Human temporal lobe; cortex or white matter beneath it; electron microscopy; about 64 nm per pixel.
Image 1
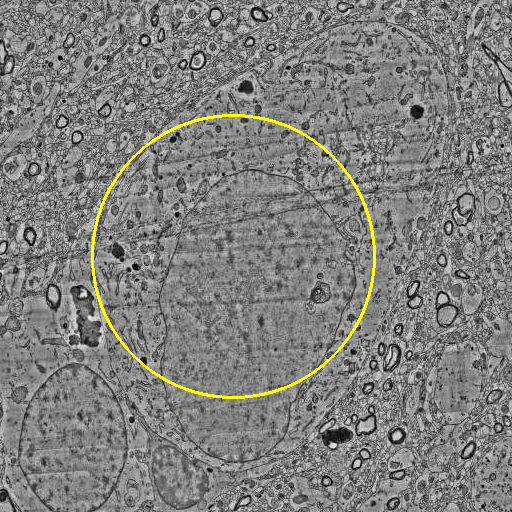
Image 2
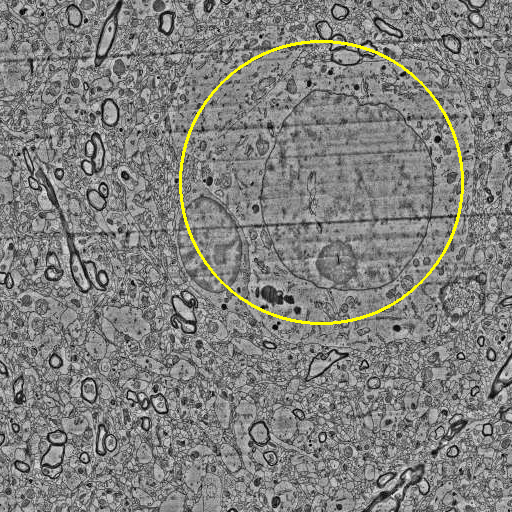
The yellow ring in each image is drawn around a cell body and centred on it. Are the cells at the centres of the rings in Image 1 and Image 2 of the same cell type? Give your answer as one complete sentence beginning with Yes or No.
Yes, both cells are of the same type.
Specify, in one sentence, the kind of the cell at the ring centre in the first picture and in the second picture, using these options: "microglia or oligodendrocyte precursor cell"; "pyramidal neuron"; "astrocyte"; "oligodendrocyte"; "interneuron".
Both rings mark a pyramidal neuron, one in each picture.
